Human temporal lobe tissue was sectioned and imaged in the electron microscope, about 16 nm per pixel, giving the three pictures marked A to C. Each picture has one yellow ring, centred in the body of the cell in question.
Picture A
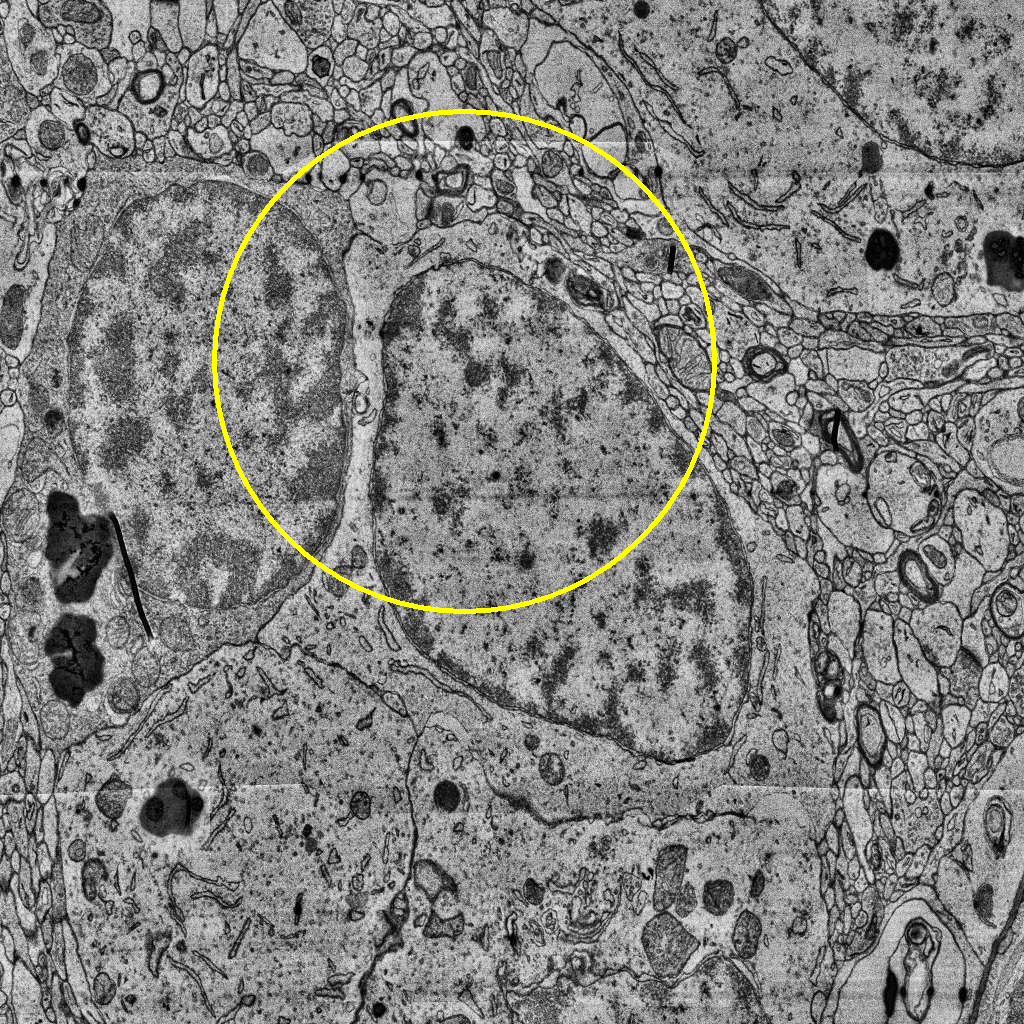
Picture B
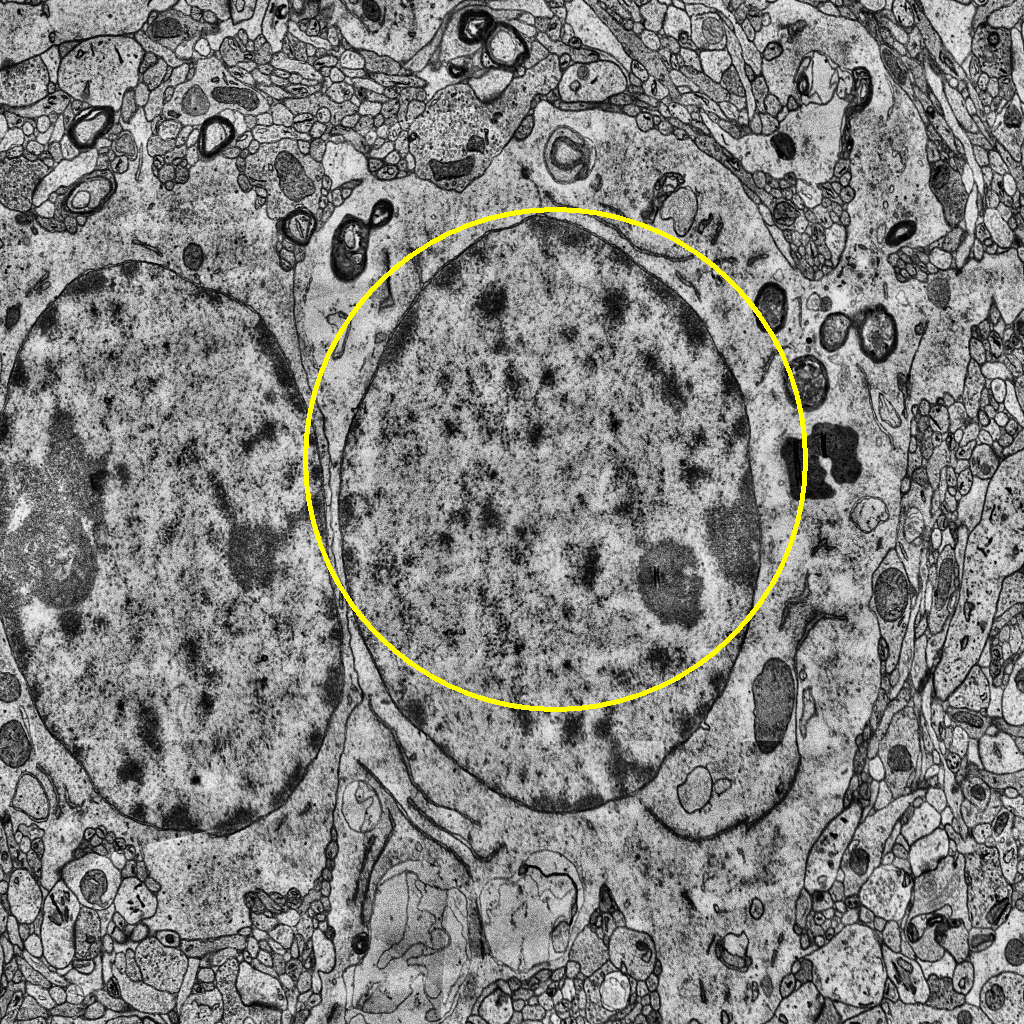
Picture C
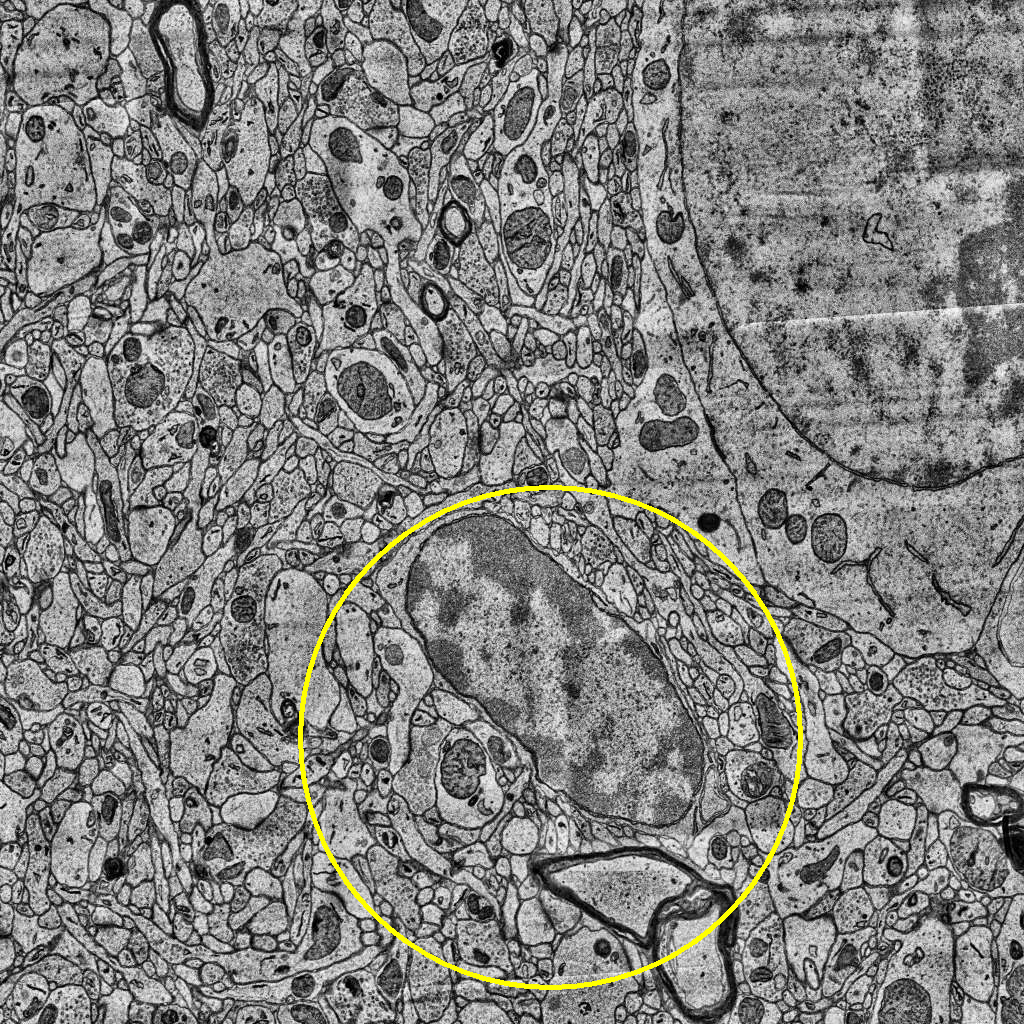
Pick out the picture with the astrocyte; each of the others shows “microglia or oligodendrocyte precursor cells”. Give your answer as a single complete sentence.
The astrocyte is the one in picture B.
